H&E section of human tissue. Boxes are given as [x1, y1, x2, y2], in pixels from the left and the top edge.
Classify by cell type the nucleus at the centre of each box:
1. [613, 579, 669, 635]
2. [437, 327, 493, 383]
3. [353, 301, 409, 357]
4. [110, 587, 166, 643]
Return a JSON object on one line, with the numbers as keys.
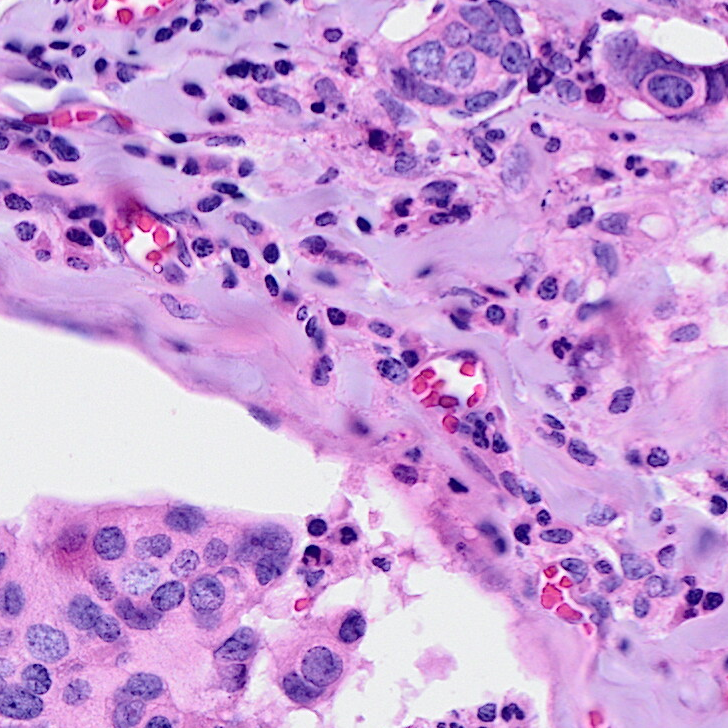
{"1": "mast cell", "2": "endothelial cell", "3": "mast cell", "4": "carcinoma cell"}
